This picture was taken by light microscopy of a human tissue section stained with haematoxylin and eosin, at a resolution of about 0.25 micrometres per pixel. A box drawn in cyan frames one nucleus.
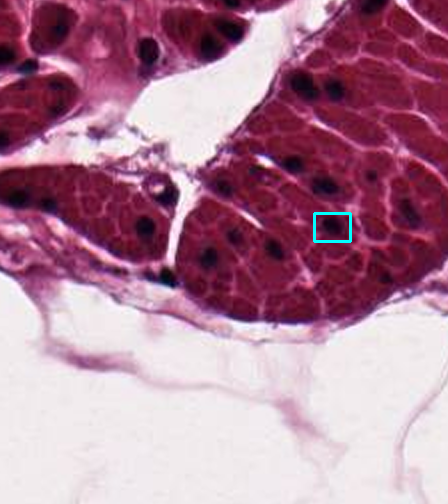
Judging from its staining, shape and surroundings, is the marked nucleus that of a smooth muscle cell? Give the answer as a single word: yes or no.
yes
